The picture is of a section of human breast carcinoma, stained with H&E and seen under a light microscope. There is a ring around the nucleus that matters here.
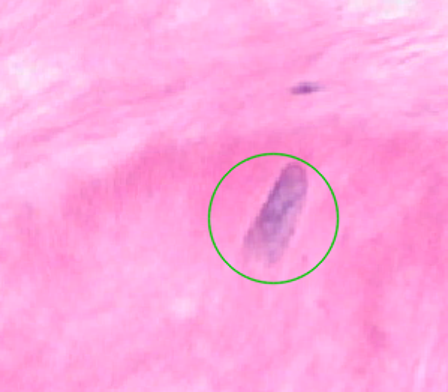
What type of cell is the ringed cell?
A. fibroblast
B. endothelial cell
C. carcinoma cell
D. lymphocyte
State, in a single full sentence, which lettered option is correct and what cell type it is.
Option A is the correct one: the ringed cell is a fibroblast.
